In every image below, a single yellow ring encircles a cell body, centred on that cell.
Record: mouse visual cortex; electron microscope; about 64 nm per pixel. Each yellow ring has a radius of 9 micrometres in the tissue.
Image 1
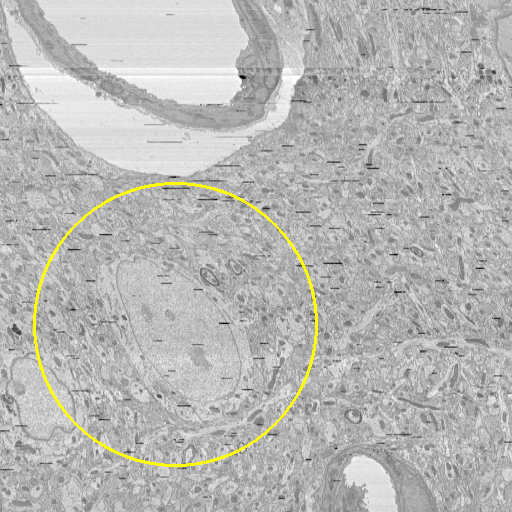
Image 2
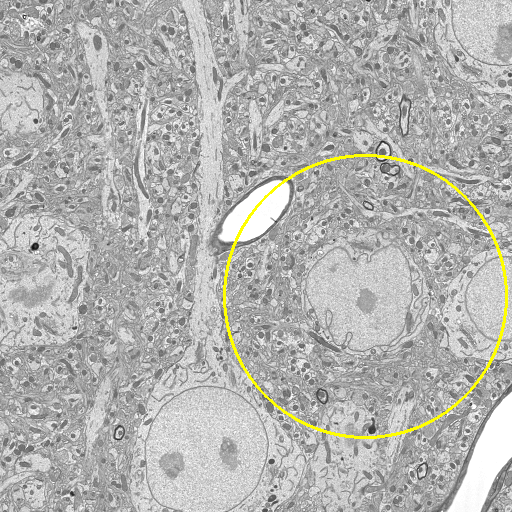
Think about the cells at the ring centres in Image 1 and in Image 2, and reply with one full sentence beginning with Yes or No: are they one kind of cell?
No, the cells centred in the rings of Image 1 and Image 2 are two kinds of cell.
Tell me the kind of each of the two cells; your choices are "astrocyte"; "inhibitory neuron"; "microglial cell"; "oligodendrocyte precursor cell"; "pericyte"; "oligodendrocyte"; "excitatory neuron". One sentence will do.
The ringed cell is an excitatory neuron in the first picture and an inhibitory neuron in the second picture.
